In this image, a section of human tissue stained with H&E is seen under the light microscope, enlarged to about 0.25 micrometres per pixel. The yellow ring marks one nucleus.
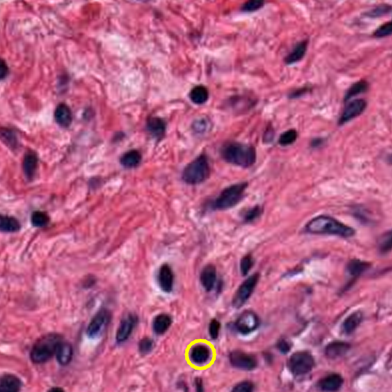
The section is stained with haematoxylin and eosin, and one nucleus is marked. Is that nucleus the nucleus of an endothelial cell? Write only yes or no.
no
